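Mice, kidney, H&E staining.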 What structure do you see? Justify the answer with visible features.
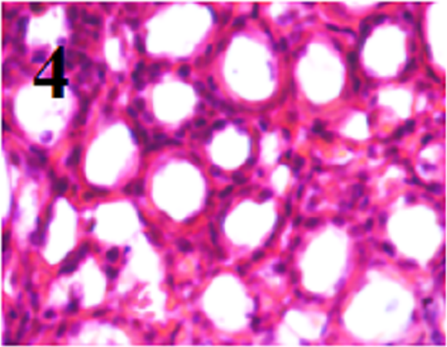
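Tubular region. Round and oval tubule cross-sections with open white lumens. Single-layered pink epithelium with dark nuclei lines each lumen.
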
